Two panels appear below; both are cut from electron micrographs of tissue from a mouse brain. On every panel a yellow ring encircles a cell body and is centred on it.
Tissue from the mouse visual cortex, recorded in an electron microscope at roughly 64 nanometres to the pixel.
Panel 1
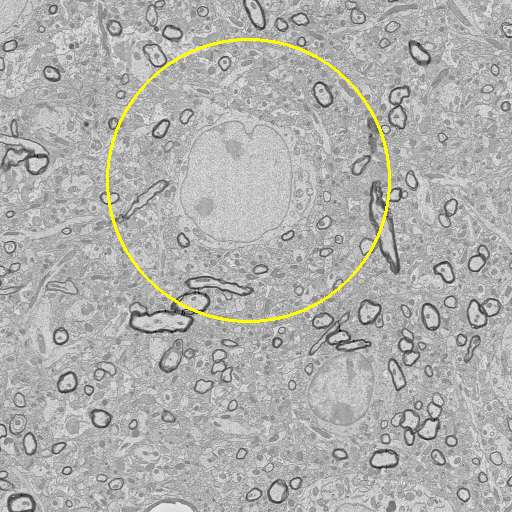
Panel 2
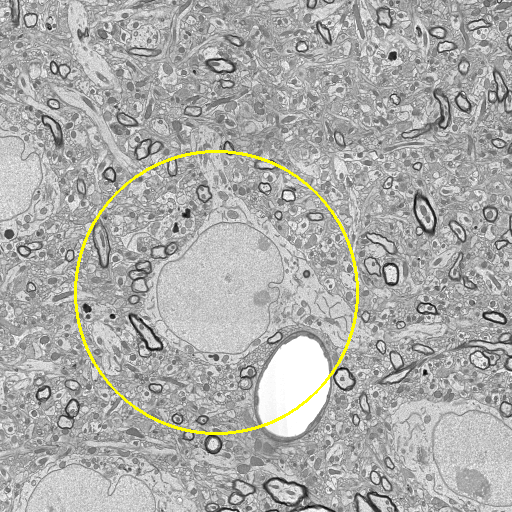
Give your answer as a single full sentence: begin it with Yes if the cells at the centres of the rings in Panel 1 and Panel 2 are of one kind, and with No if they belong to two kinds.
Yes, the cells in the middle of the rings in Panels 1 and 2 are of one kind.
